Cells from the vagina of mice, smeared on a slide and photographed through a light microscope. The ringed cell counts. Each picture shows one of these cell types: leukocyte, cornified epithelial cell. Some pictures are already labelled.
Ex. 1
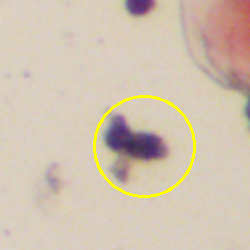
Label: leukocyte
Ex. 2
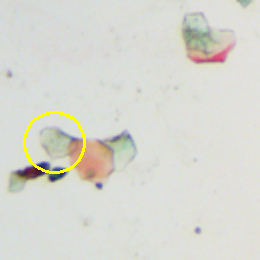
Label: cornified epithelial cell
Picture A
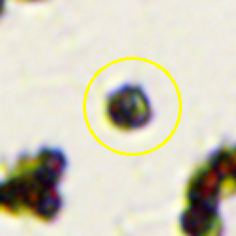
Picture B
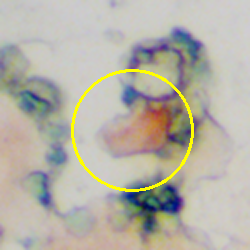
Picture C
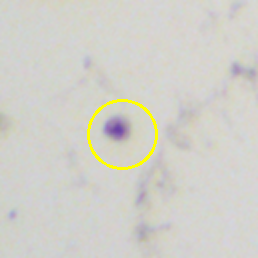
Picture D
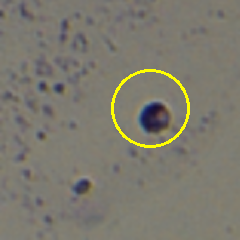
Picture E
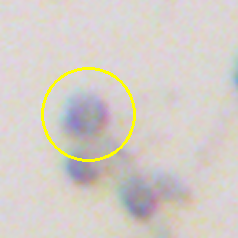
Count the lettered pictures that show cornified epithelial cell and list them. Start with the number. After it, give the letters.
Count: 1 (B)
